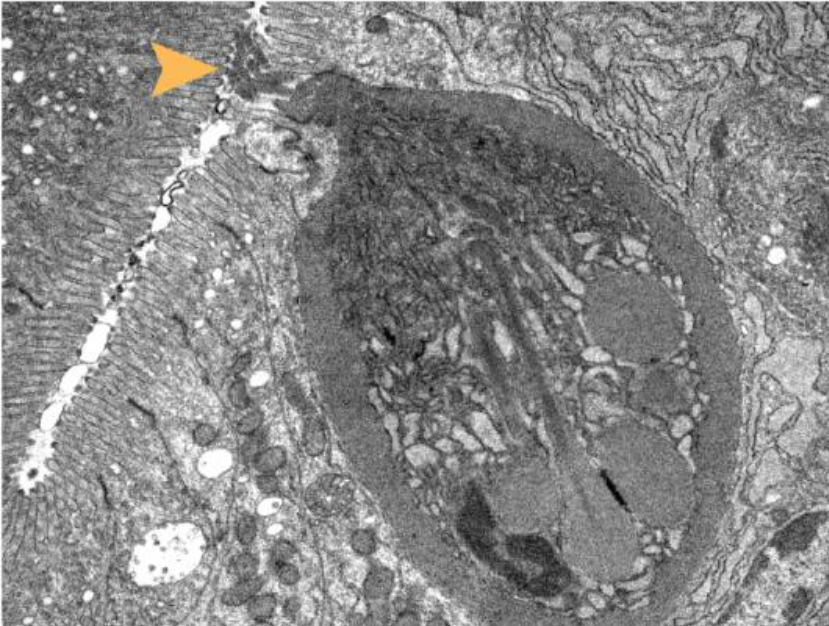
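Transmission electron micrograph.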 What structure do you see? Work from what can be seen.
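Neighbouring cells carry dense rows of tall, regular microvilli at the upper left. The microvilli line the apical surface facing the lumen.
Epithelial brush border.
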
